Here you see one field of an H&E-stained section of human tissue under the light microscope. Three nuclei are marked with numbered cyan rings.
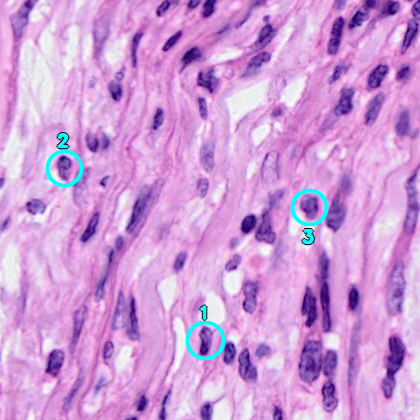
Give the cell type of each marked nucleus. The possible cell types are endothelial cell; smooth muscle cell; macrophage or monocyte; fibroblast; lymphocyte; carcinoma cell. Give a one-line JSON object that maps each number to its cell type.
{"1": "macrophage or monocyte", "2": "lymphocyte", "3": "lymphocyte"}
